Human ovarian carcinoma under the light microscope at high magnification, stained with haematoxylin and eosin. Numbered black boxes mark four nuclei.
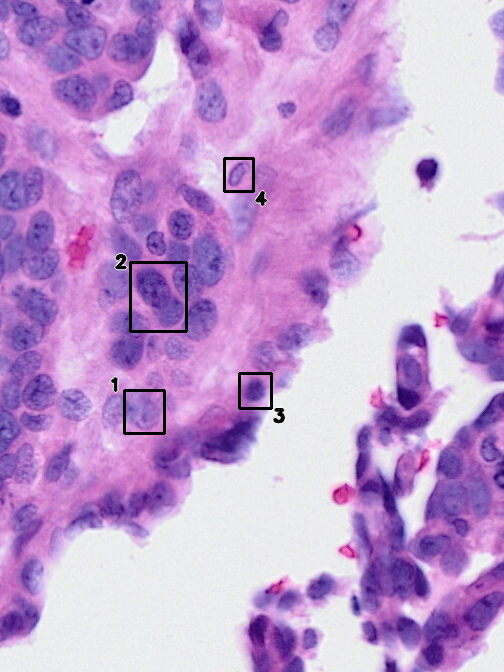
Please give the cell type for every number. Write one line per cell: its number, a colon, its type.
1: fibroblast
2: carcinoma cell
3: lymphocyte
4: macrophage or monocyte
